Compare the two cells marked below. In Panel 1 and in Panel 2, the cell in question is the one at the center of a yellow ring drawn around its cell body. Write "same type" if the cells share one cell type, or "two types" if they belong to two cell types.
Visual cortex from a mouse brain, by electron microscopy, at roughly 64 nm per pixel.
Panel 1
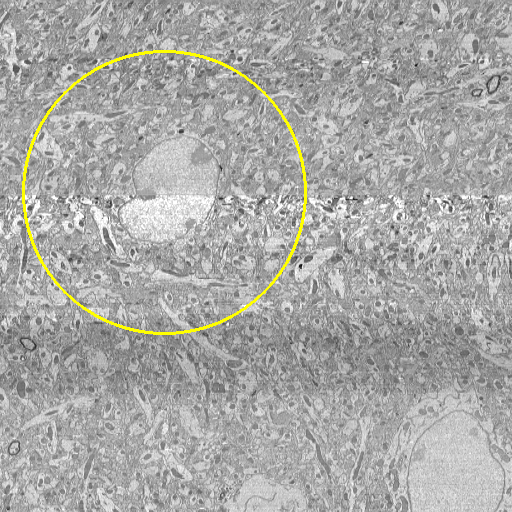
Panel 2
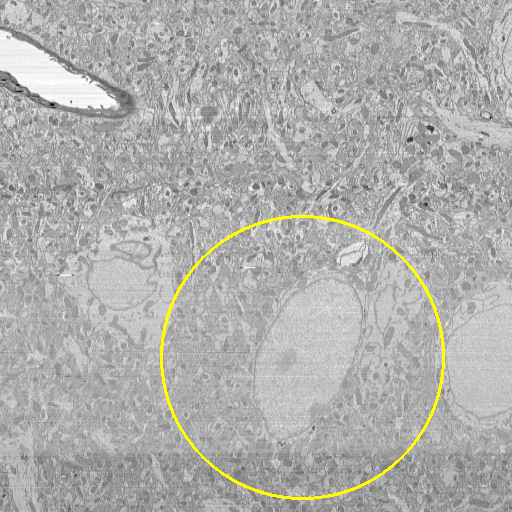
same type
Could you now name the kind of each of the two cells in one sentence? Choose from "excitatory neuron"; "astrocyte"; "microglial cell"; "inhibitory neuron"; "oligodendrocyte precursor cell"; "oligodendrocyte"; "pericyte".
Each cell at the centre of a ring is an astrocyte.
